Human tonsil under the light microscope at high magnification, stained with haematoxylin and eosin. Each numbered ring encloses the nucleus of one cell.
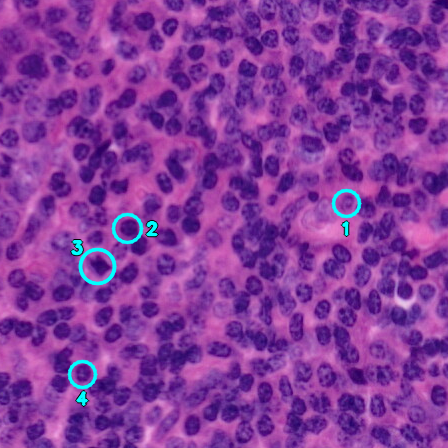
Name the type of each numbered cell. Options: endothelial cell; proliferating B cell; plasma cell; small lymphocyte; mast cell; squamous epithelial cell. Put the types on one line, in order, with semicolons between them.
endothelial cell; plasma cell; plasma cell; plasma cell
